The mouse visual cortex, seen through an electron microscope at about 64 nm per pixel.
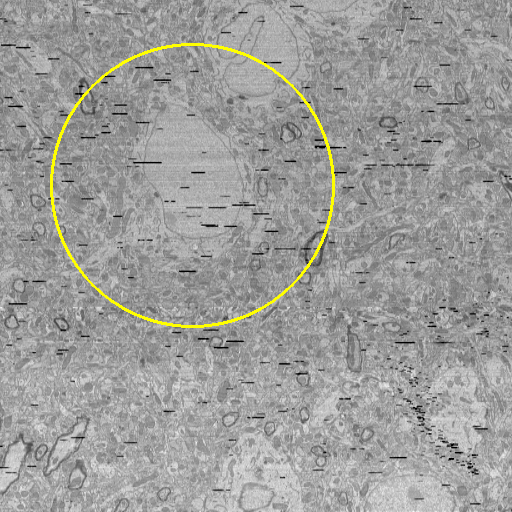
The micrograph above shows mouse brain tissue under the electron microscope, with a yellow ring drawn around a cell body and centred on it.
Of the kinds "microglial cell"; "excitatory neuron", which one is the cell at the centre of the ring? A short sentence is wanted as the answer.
The one at the centre of the ring is an excitatory neuron.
